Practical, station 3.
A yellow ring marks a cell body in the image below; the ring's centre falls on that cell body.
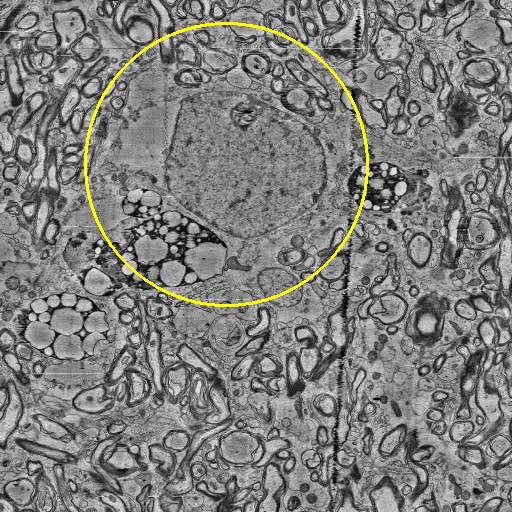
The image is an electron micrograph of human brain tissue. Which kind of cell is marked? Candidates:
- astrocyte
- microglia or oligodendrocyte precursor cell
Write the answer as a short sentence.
The marked cell body is that of an astrocyte.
